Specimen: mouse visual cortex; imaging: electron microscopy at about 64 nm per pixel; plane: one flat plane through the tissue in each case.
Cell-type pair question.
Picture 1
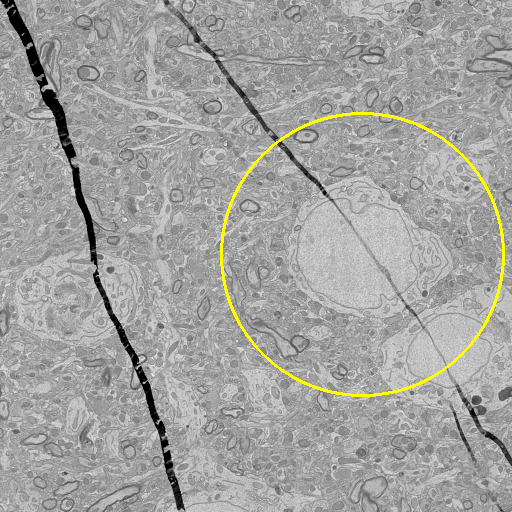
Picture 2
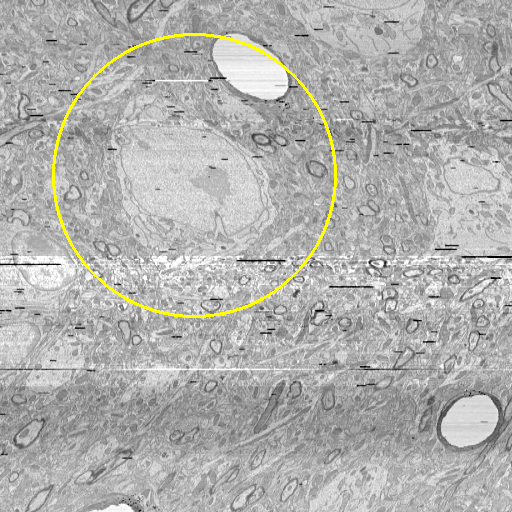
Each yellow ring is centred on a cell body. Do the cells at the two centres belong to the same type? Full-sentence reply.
Yes, the two cells belong to the same type.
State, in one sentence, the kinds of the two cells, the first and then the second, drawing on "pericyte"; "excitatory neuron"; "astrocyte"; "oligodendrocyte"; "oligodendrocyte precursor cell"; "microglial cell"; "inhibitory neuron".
In each picture the ringed cell is an inhibitory neuron.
